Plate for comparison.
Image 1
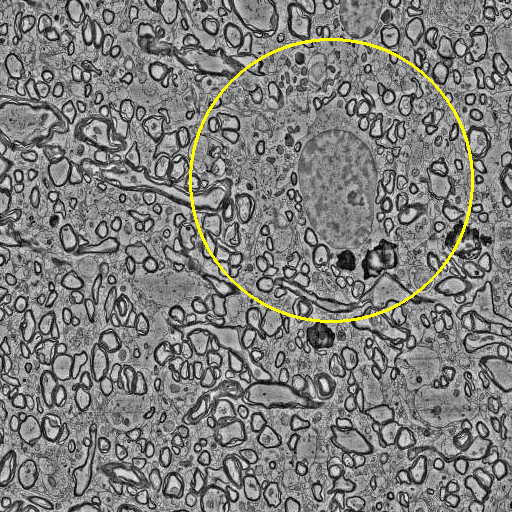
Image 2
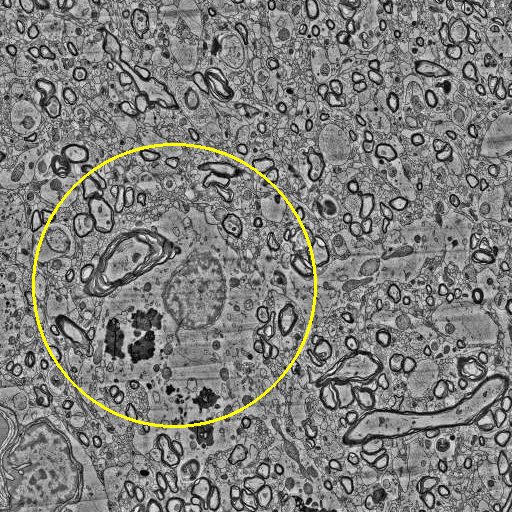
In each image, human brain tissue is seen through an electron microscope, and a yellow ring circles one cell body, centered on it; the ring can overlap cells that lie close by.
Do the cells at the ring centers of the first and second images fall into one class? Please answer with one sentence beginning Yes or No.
No, the first and second images show two classes of cell at the ring centers.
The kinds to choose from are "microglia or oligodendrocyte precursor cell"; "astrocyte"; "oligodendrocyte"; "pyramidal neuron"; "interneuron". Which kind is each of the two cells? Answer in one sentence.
Of the two, the first cell is an oligodendrocyte and the second cell is an astrocyte.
